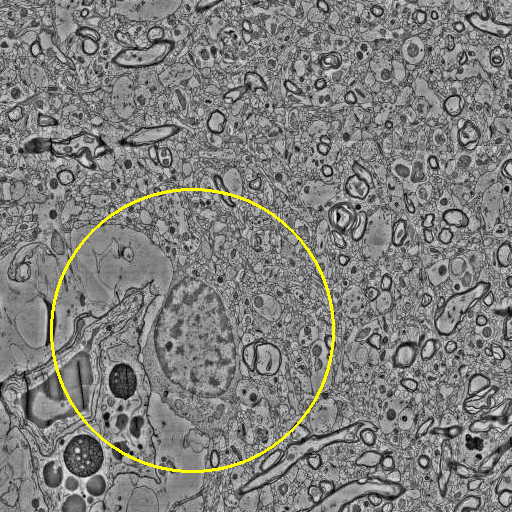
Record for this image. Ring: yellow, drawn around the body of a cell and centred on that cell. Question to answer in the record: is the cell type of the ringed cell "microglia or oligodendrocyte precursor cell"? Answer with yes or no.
no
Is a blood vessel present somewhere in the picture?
Yes.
